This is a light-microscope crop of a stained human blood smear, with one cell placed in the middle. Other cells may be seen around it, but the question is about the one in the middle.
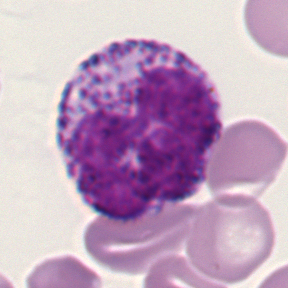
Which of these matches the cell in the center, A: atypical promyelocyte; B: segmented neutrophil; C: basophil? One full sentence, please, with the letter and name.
The cell centered in the crop is a basophil, making option C the correct pick.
